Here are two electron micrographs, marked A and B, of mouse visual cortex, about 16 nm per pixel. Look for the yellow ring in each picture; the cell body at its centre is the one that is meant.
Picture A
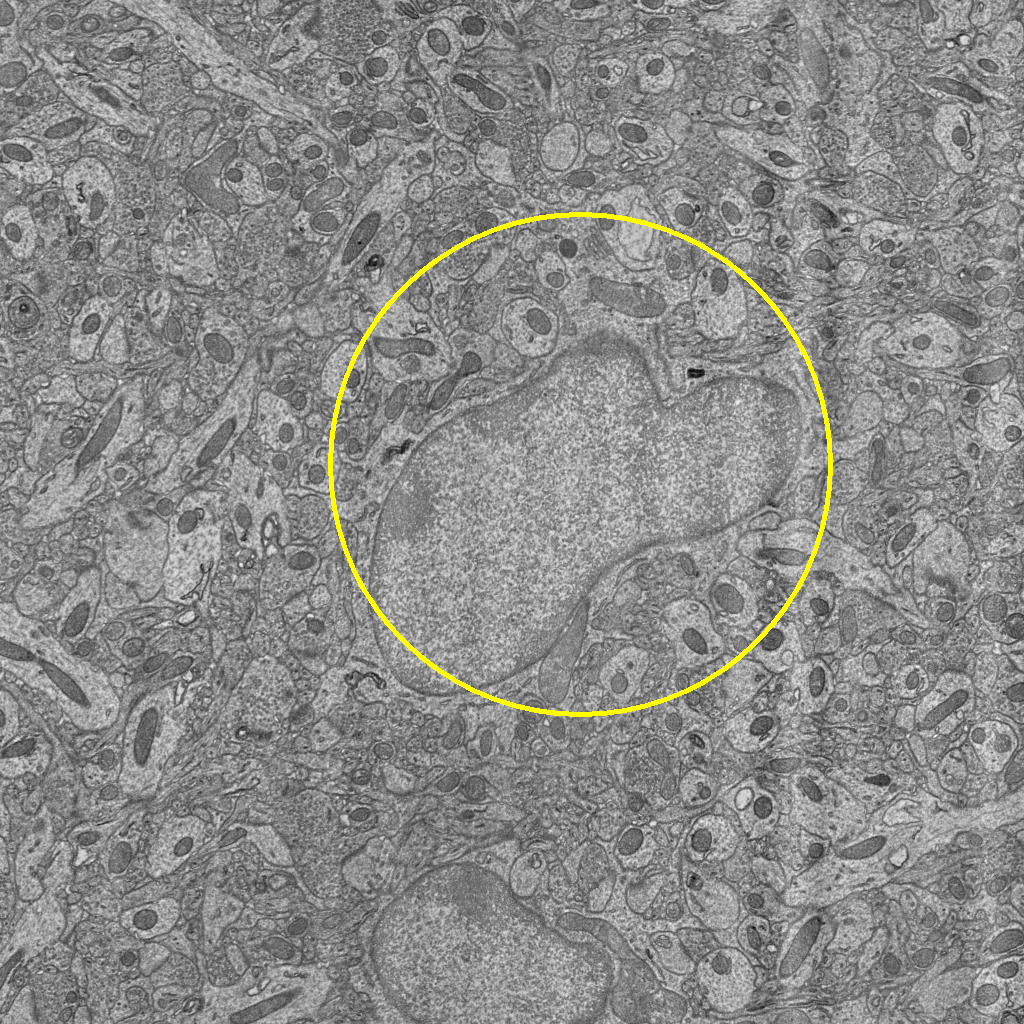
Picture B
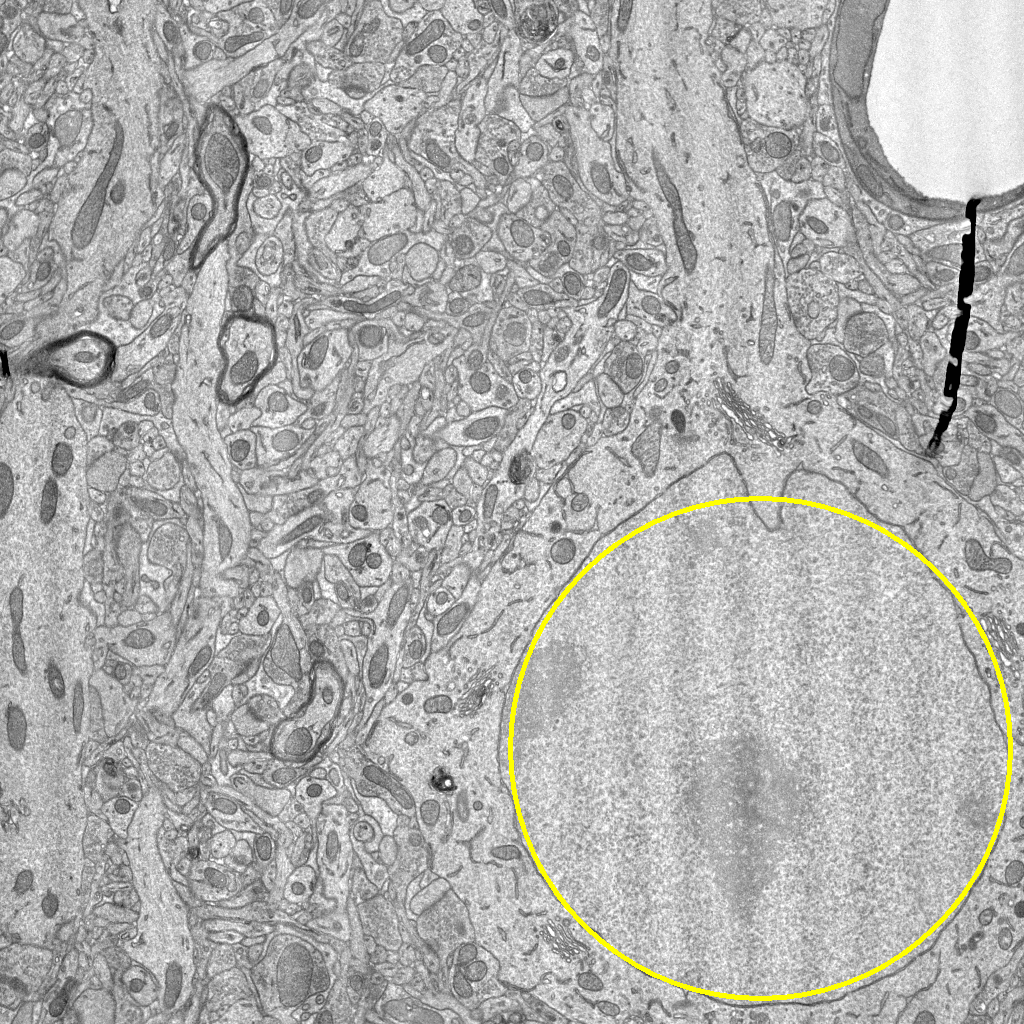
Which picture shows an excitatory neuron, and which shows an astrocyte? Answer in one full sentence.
Picture A shows an astrocyte and picture B shows an excitatory neuron.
